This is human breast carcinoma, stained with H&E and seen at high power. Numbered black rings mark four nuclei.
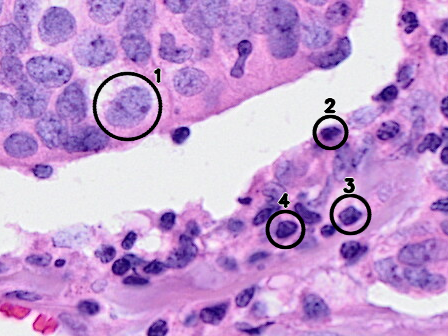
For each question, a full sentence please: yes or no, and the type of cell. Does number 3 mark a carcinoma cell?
No, cell 3 is to be read as a lymphocyte, not a carcinoma cell.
